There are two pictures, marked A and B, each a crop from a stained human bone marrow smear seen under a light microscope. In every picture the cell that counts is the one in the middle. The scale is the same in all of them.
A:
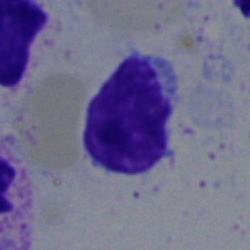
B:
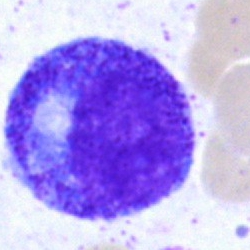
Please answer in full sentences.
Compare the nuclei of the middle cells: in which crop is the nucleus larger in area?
It is the nucleus in crop B, about 2 times as large in area as the one in crop A.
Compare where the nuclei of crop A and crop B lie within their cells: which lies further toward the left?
Seen within its cell, the nucleus in crop A lies further toward the left.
